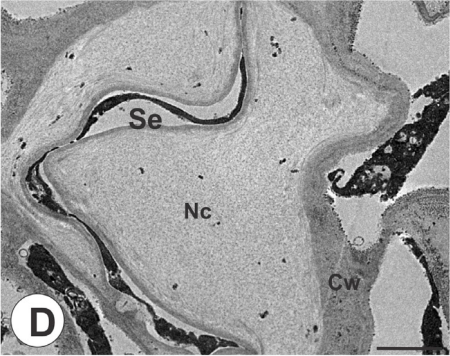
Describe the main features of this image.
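Transmission electron micrograph of a sieve tube element in the phloem. The cell is bounded by a thick, pale, finely layered wall whose inner layer bulges inward in lobes, so that the lumen is irregular and narrowed. A thin dark band runs along part of the inner wall surface.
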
